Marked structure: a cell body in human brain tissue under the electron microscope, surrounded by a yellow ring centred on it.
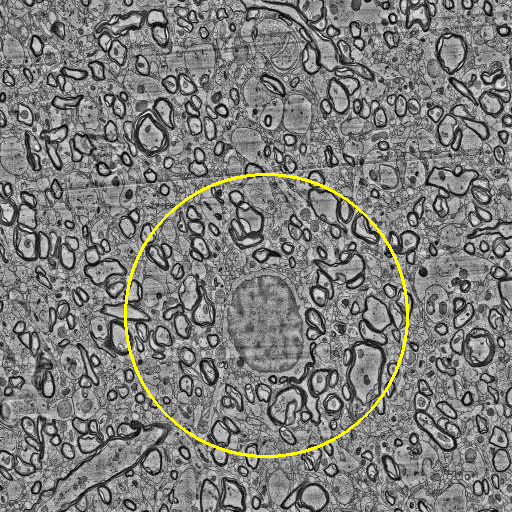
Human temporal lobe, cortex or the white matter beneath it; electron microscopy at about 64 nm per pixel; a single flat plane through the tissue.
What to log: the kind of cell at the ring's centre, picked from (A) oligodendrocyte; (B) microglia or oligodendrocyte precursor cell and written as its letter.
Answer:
A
